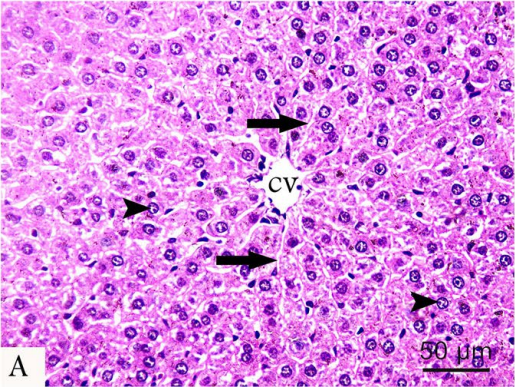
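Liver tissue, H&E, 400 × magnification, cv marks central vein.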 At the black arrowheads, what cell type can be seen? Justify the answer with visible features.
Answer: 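Large polygonal cells with pink granular cytoplasm. Round central nuclei with prominent nucleoli. Cells lie in cords radiating from the central vein. That points to this answer: hepatocytes.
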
